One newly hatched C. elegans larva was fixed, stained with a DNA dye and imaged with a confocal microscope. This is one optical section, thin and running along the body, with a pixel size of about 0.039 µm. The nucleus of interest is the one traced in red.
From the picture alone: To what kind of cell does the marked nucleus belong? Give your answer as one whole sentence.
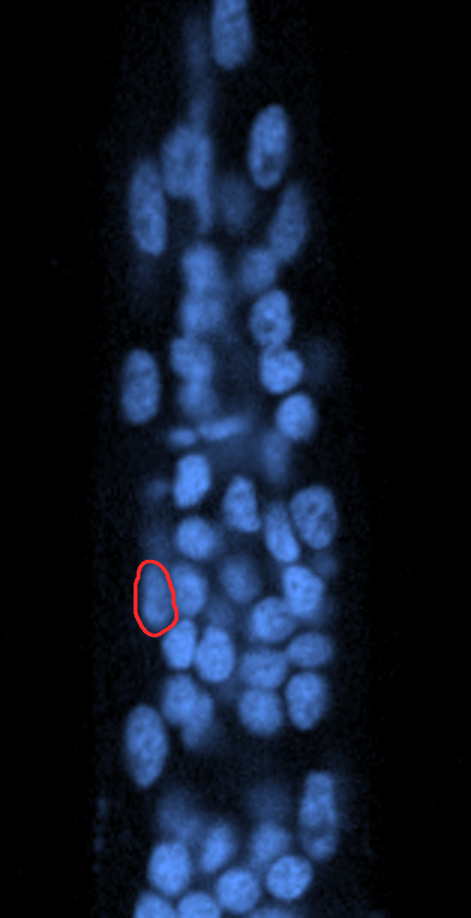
What is marked is the nucleus of a neuron.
